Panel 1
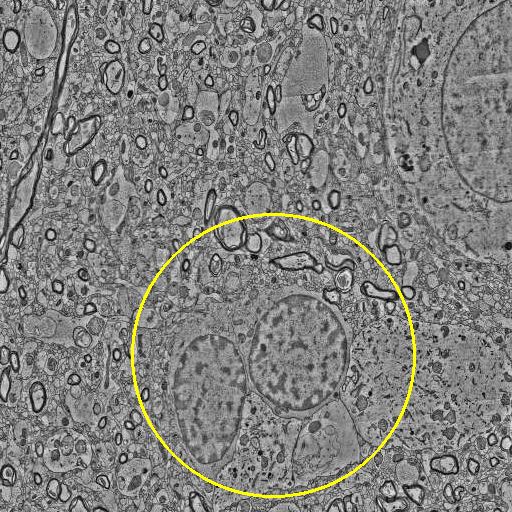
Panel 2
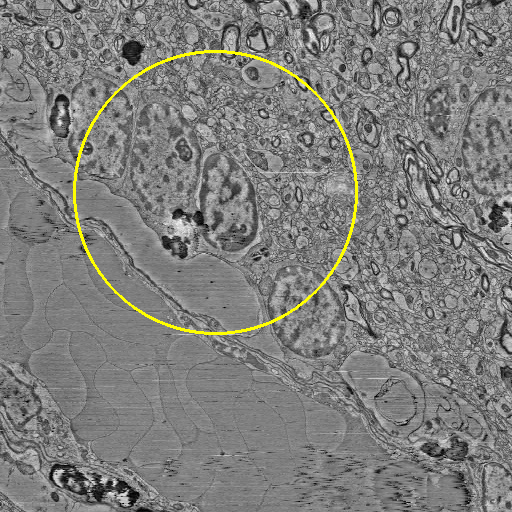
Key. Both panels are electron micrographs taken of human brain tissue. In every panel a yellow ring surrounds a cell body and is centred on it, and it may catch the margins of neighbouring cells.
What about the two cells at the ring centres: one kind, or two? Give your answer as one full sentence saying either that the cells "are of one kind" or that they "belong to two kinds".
Across Panels 1 and 2, the two cells at the ring centres belong to two kinds.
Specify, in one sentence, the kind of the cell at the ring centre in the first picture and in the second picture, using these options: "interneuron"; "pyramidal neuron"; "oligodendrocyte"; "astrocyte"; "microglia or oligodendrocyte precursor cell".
So the first is an oligodendrocyte, the second a microglial cell or oligodendrocyte precursor cell.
